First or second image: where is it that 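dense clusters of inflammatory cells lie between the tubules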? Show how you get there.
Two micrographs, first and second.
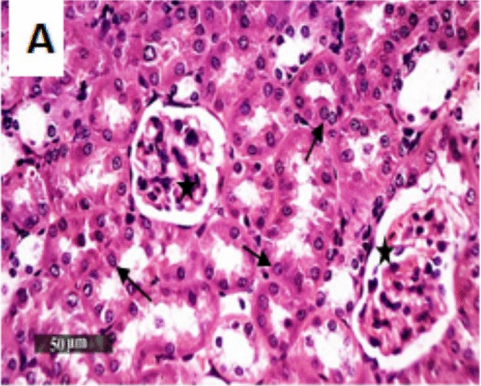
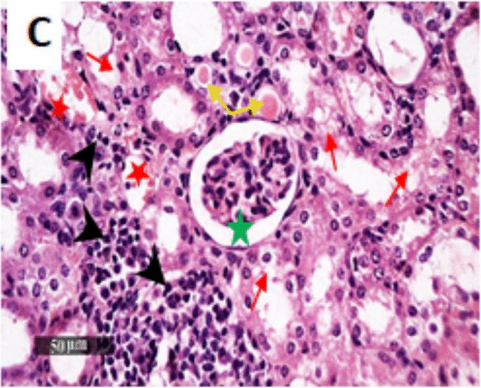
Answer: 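Second image: a large aggregate of small dark round nuclei fills the interstitium. First image: tubules lie close together with no such aggregates.
Conclusion: the second image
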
